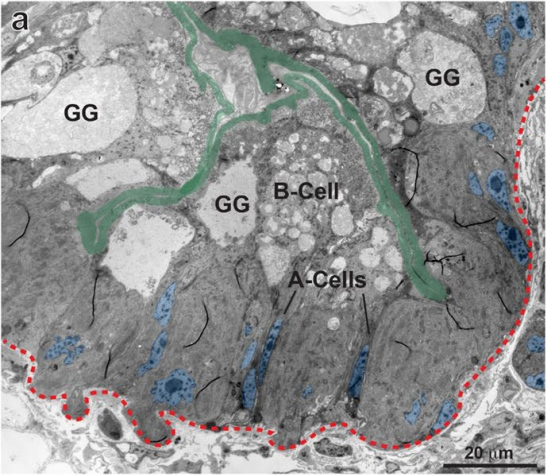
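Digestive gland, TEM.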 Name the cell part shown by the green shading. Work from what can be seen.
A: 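Apical microvilli. The green-shaded band runs along the free upper surface of the epithelial cells. It borders a lumen-like space between the opposing cell layers.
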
